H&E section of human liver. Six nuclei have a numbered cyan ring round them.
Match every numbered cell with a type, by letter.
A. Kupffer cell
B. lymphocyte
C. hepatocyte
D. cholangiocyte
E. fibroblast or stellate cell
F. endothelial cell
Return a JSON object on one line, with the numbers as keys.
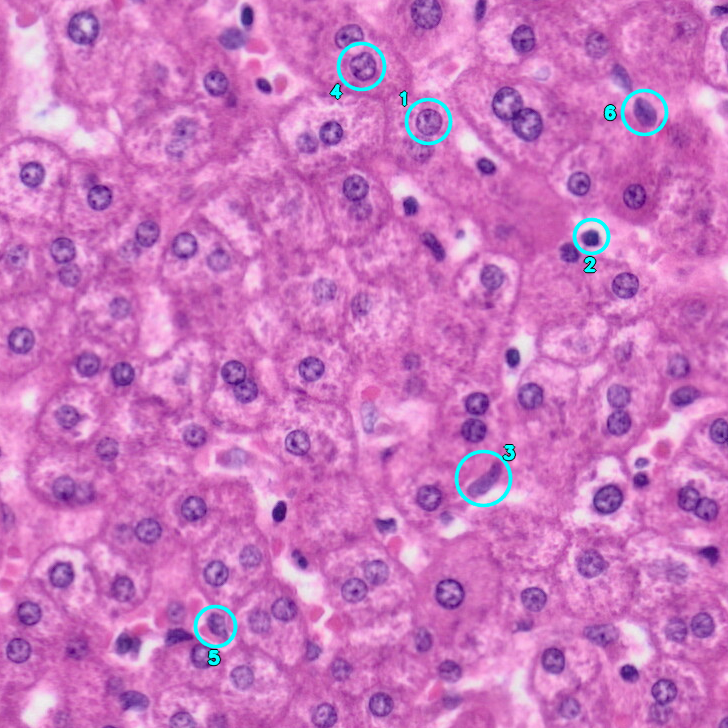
{"1": "C", "2": "B", "3": "A", "4": "C", "5": "A", "6": "F"}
